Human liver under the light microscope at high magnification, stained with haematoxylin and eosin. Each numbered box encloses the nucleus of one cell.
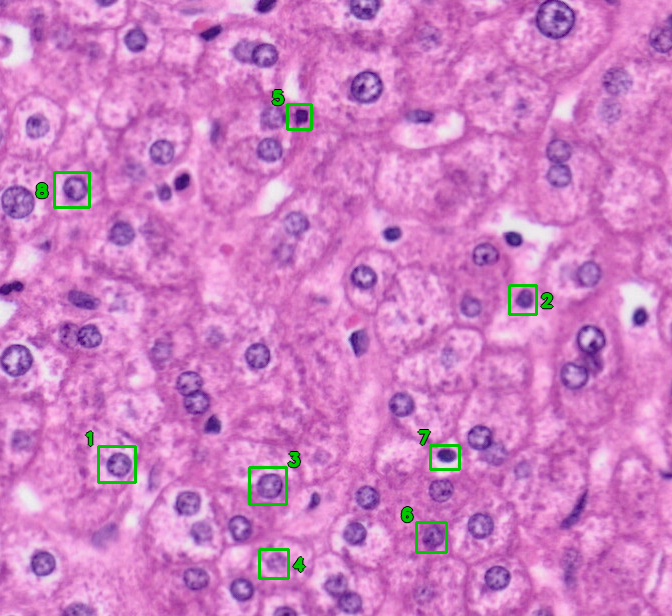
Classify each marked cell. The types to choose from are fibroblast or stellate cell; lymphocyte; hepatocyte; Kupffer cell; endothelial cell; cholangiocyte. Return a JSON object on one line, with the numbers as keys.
{"1": "hepatocyte", "2": "lymphocyte", "3": "hepatocyte", "4": "hepatocyte", "5": "fibroblast or stellate cell", "6": "hepatocyte", "7": "lymphocyte", "8": "hepatocyte"}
